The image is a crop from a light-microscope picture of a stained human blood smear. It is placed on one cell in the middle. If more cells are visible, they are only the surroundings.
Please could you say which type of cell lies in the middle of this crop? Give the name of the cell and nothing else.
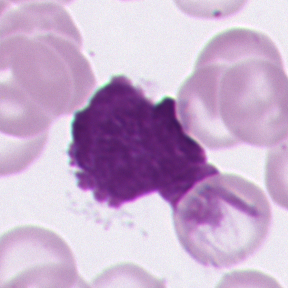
smudge cell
